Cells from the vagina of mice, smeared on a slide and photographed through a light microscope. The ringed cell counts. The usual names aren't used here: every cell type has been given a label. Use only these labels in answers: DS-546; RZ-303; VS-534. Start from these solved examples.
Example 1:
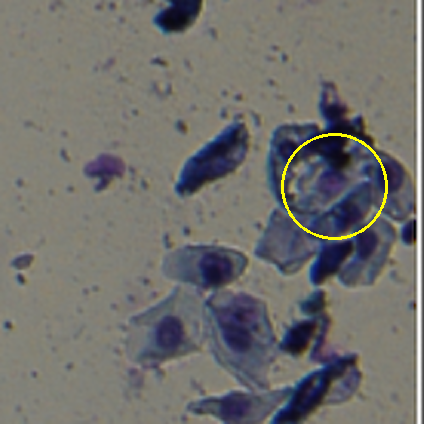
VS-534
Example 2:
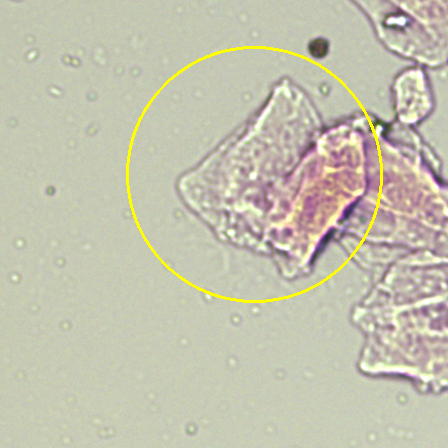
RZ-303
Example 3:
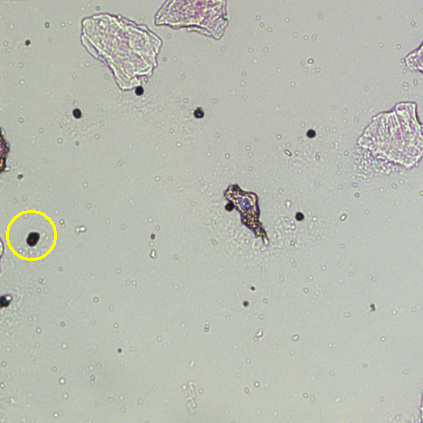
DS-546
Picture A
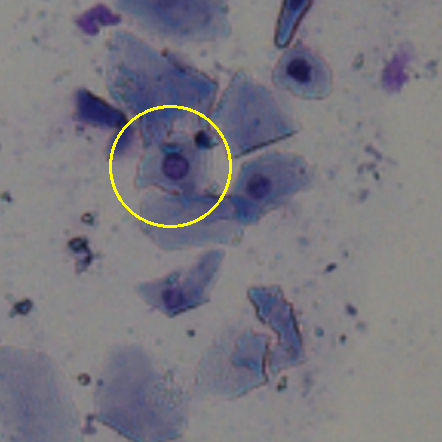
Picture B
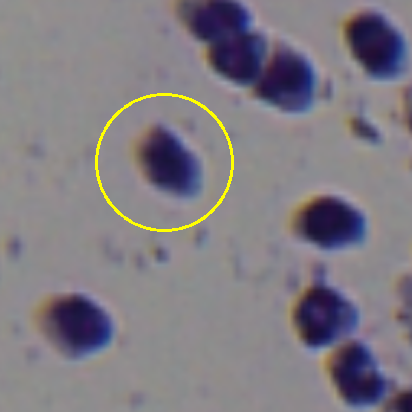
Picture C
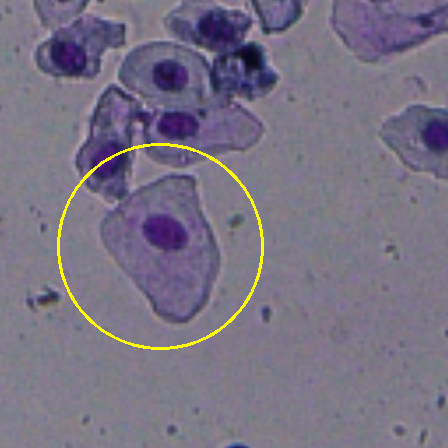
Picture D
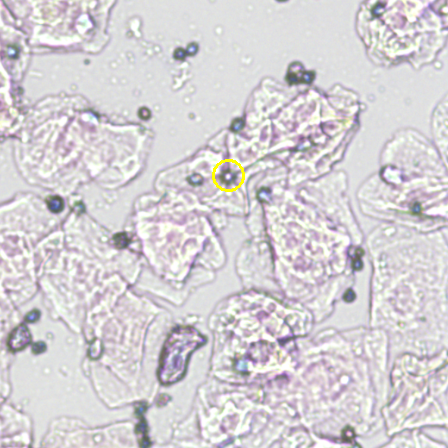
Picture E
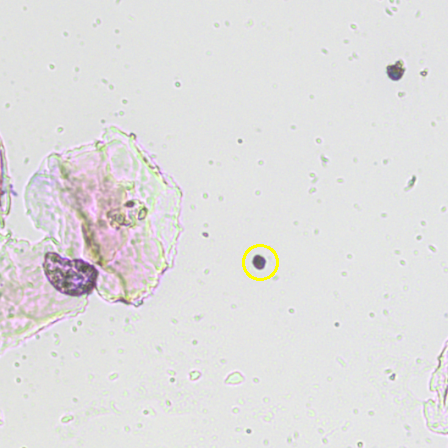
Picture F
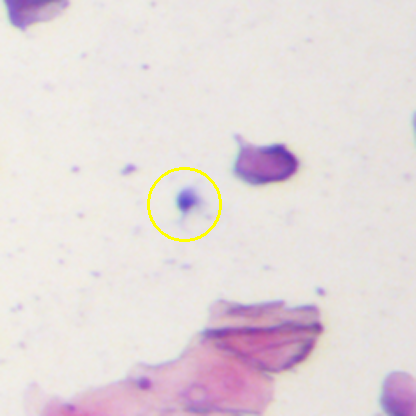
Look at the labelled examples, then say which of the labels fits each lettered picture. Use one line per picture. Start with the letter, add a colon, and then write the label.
A: VS-534
B: DS-546
C: VS-534
D: DS-546
E: DS-546
F: DS-546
